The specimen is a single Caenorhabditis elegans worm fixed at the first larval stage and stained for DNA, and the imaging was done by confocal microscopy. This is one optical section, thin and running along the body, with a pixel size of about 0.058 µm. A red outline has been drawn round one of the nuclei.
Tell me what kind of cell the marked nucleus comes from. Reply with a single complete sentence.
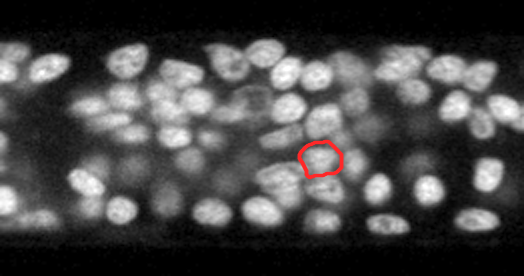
The nucleus comes from a pharyngeal muscle cell.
